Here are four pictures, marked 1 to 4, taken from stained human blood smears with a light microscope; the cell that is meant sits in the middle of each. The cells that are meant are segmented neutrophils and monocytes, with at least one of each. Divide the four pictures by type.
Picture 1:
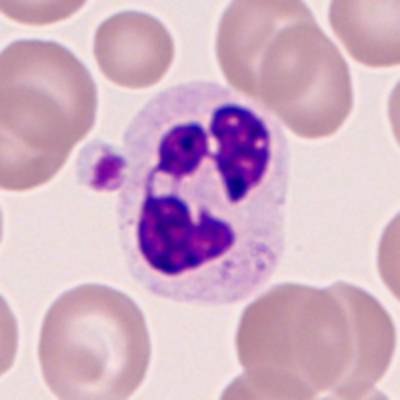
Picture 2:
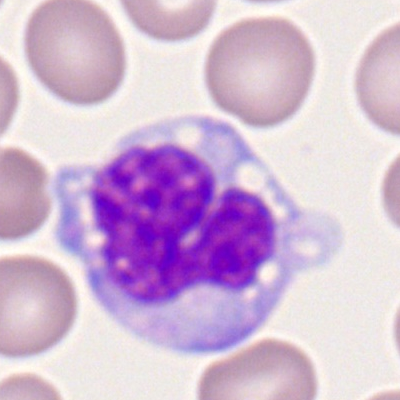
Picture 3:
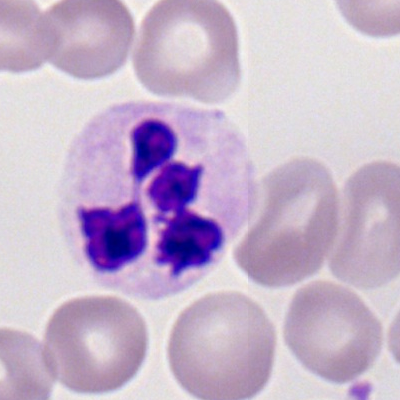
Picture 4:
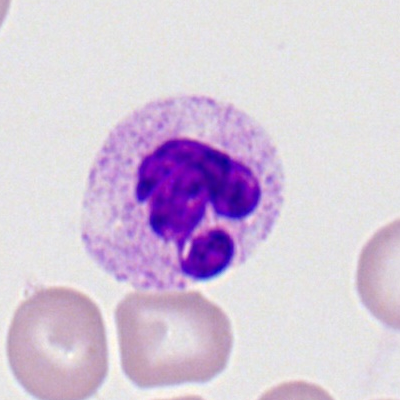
1: segmented neutrophil
2: monocyte
3: segmented neutrophil
4: segmented neutrophil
